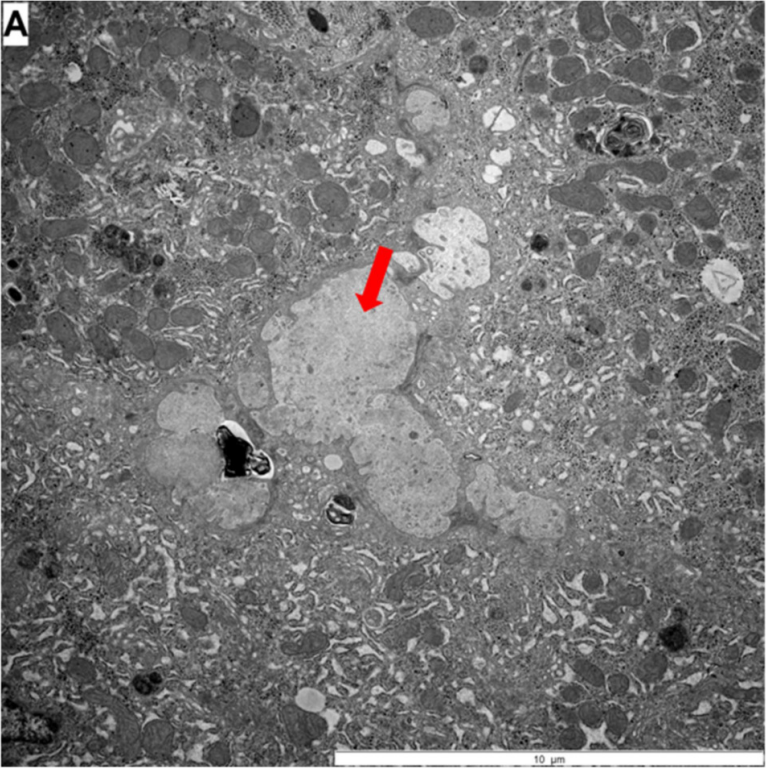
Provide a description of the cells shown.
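This is liver tissue seen at low magnification by transmission electron microscopy. Hepatocyte cytoplasm fills most of the field, crowded with many dark oval mitochondria and abundant membranous profiles. Through the middle runs a chain of pale, lobulated spaces packed with finely granular, amorphous material, which looks unlike normal tissue. Small clear vacuoles and a few dense, dark inclusions lie scattered nearby, some with a layered appearance. The pale masses are outlined by thin rims of darker cytoplasm.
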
